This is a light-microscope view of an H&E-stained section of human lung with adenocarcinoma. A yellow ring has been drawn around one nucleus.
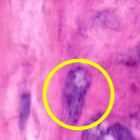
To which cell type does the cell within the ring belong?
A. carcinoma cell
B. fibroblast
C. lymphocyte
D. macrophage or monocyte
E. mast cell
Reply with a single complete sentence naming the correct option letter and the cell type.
Option A gets it right, as the cell within the ring is a carcinoma cell.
